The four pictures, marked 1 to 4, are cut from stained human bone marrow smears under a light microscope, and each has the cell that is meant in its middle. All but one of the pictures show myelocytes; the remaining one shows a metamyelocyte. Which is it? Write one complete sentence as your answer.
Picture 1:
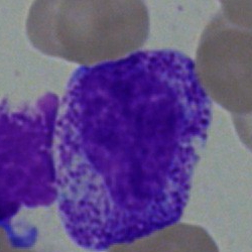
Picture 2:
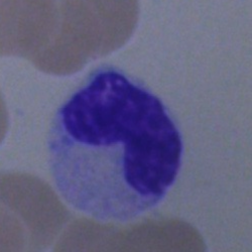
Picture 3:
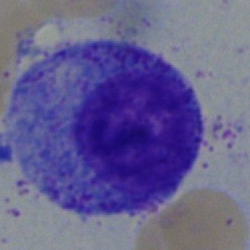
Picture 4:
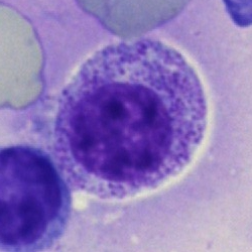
Picture 2 is the one that shows the metamyelocyte.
